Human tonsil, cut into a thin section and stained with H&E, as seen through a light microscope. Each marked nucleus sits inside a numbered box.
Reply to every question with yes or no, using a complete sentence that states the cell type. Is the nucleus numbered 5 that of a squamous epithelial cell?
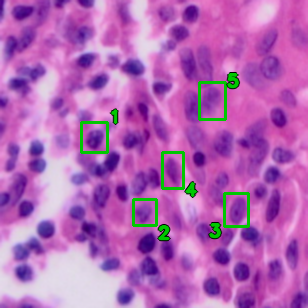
Yes, the cell marked by the number 5 is a squamous epithelial cell.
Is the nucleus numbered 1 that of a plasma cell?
Yes, the cell that bears number 1 is a plasma cell.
